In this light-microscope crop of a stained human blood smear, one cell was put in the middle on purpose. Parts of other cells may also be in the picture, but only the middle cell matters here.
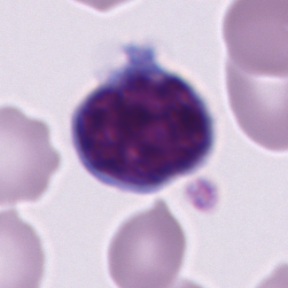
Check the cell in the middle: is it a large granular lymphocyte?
no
